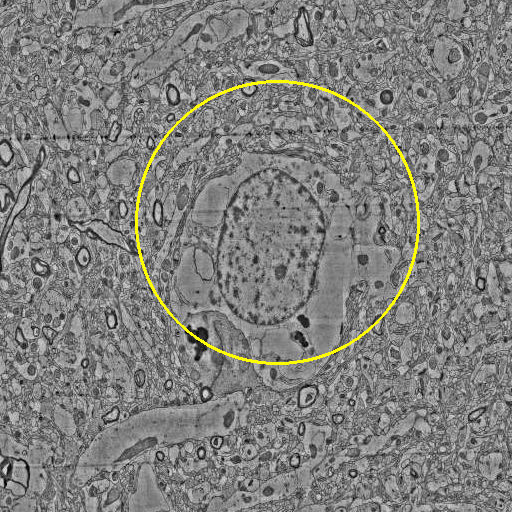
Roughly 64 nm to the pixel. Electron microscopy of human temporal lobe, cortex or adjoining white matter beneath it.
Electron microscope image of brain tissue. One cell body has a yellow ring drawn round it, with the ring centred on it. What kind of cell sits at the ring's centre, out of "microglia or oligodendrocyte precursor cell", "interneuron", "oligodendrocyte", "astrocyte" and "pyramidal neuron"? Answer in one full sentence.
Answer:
It is an astrocyte whose cell body sits at the centre of the yellow ring.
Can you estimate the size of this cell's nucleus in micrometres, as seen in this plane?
In this plane, roughly 10 by 7 micrometres.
